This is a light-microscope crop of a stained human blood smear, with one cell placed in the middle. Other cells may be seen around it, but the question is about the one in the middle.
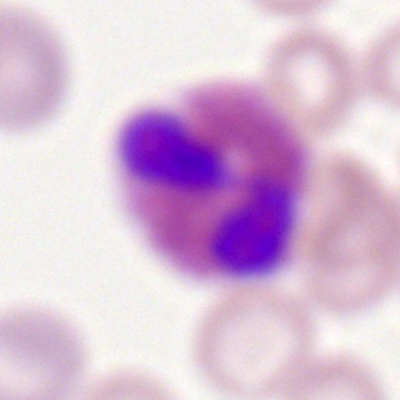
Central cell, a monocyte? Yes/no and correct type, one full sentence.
No, it is an eosinophil and not a monocyte that occupies the middle of the crop.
